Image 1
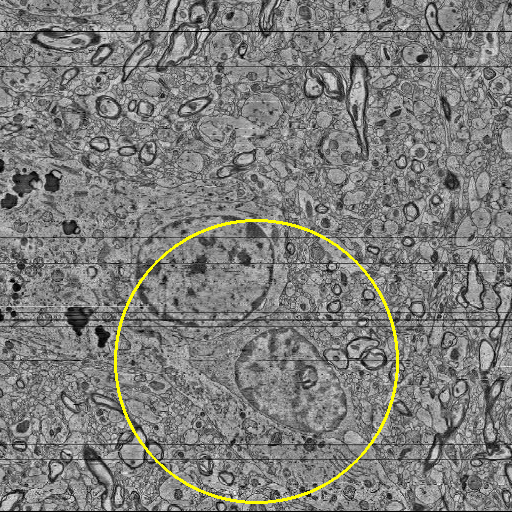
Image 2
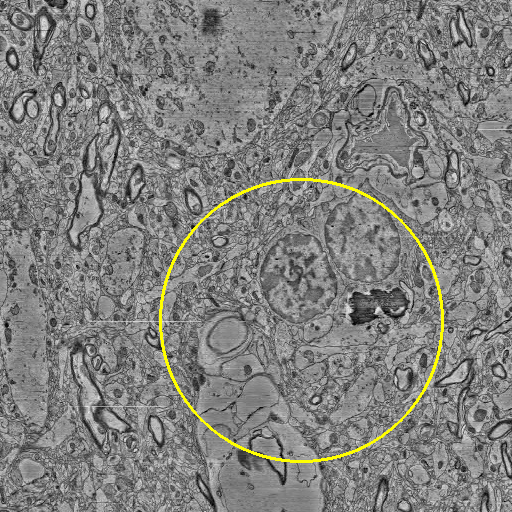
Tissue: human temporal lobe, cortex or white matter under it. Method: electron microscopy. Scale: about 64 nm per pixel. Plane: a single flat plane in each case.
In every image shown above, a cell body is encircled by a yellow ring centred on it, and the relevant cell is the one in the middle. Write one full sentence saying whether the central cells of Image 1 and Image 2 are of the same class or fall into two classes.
The cell at the ring's centre in Image 1 and its counterpart in Image 2 are of the same class.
